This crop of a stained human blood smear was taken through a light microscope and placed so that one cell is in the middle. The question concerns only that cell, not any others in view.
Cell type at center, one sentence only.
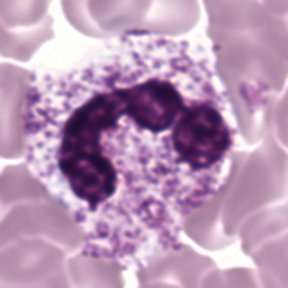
Regarding the central cell, it is a segmented neutrophil.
